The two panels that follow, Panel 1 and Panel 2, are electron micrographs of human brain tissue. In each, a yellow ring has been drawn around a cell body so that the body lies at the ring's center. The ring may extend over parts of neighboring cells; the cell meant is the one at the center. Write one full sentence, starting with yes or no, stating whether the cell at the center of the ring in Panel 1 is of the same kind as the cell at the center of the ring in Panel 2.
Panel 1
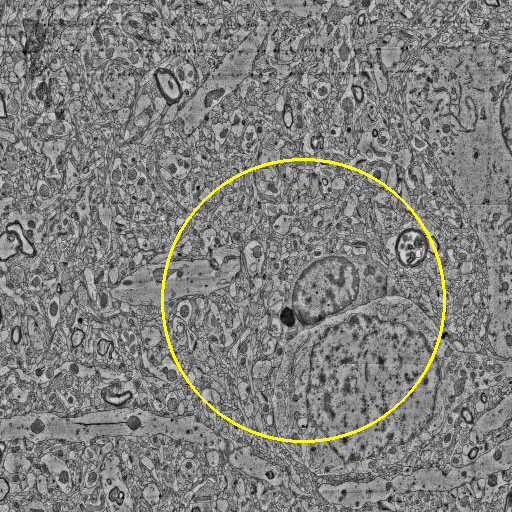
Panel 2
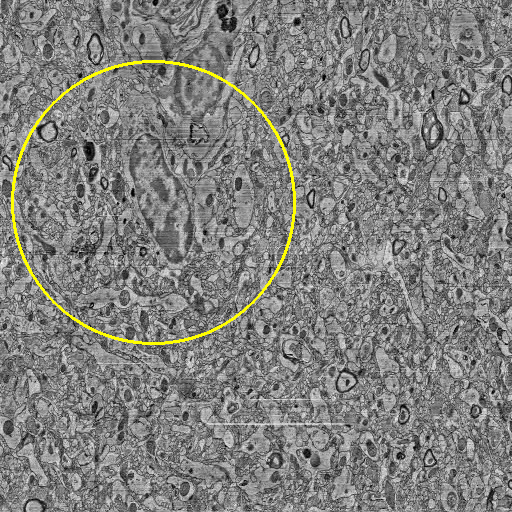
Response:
No, the cells in the two panels are of two kinds.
